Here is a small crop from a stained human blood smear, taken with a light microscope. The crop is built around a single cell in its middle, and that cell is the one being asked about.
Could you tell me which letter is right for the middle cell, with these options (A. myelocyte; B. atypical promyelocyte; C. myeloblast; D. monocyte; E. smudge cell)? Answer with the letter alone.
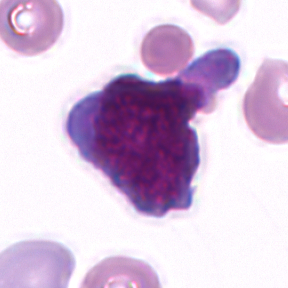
B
